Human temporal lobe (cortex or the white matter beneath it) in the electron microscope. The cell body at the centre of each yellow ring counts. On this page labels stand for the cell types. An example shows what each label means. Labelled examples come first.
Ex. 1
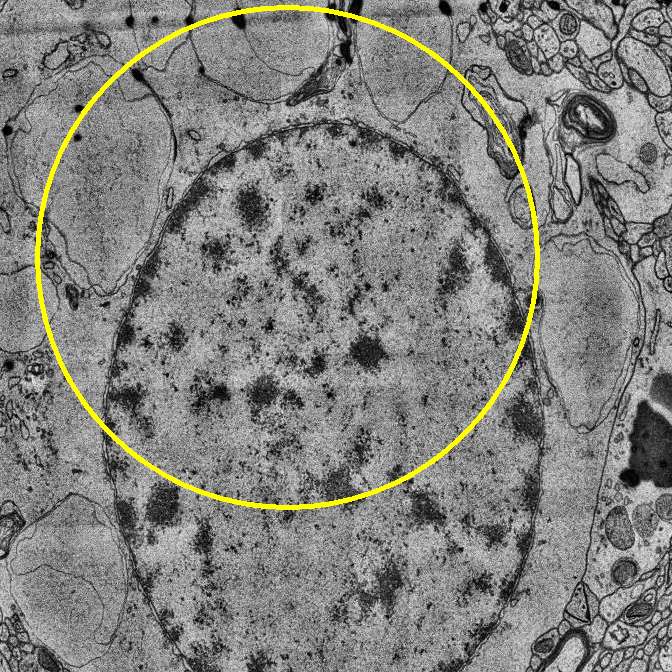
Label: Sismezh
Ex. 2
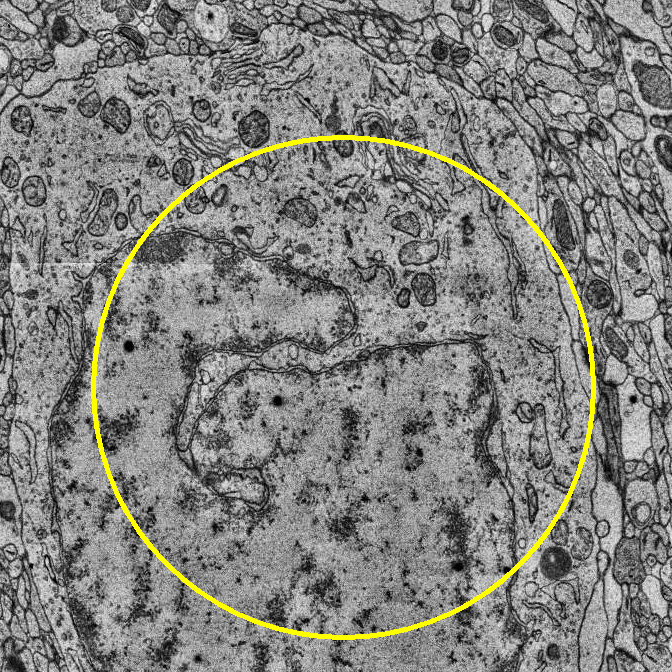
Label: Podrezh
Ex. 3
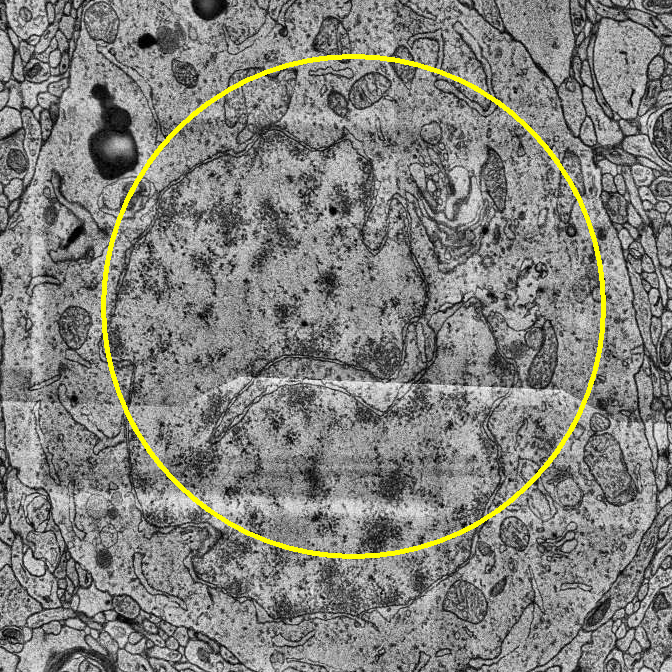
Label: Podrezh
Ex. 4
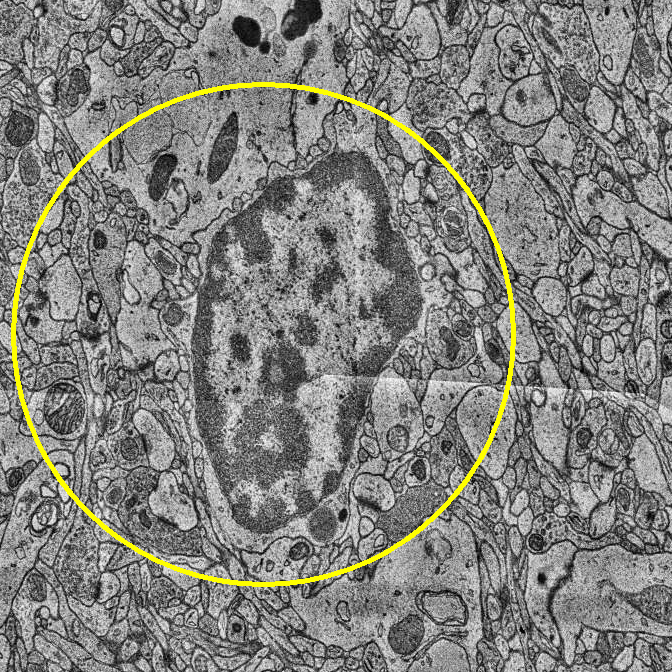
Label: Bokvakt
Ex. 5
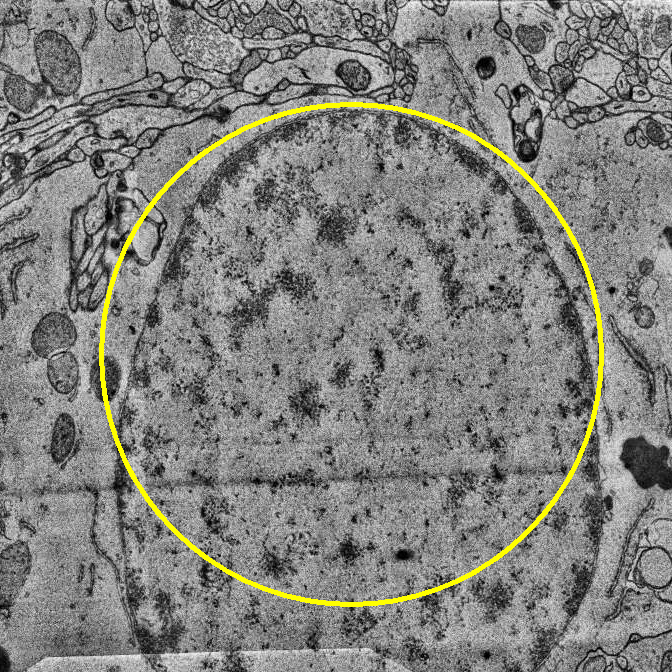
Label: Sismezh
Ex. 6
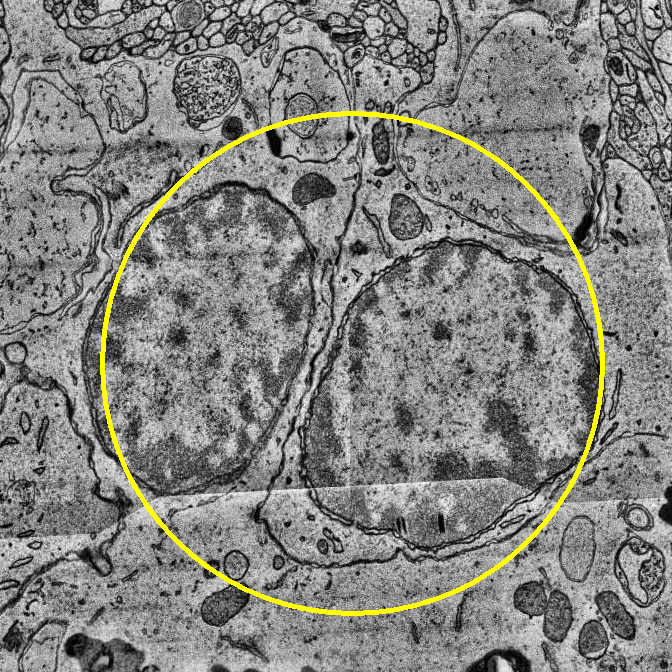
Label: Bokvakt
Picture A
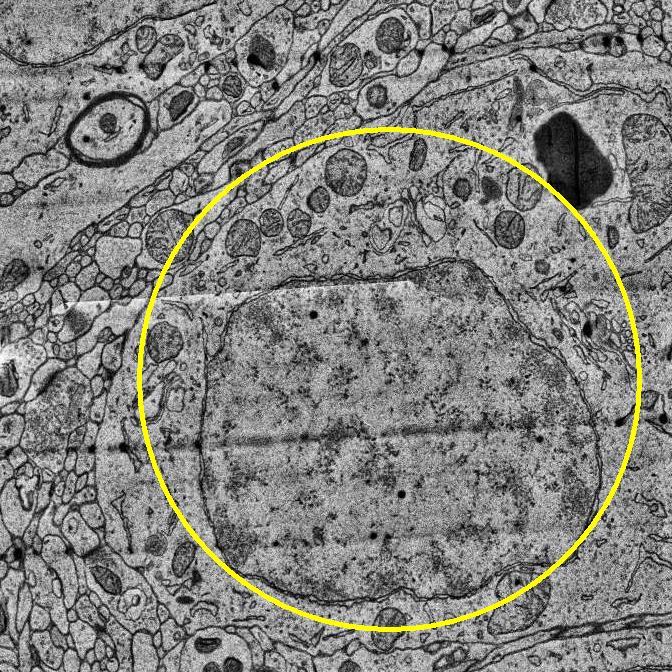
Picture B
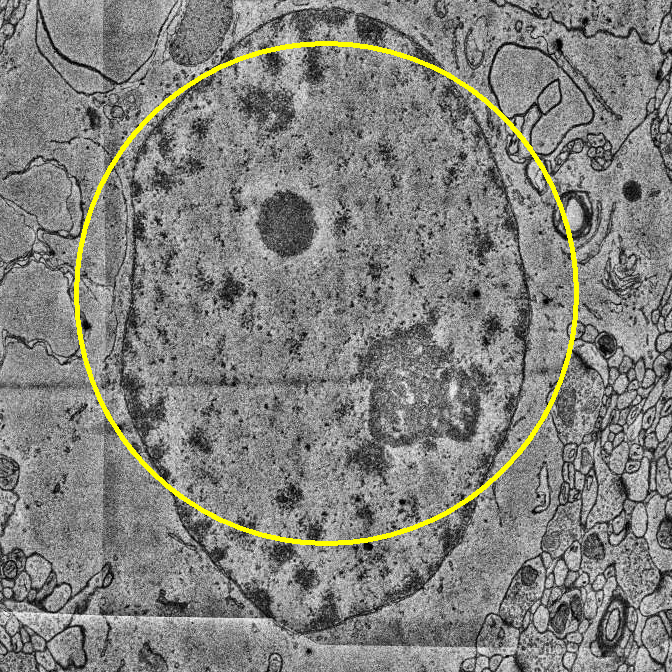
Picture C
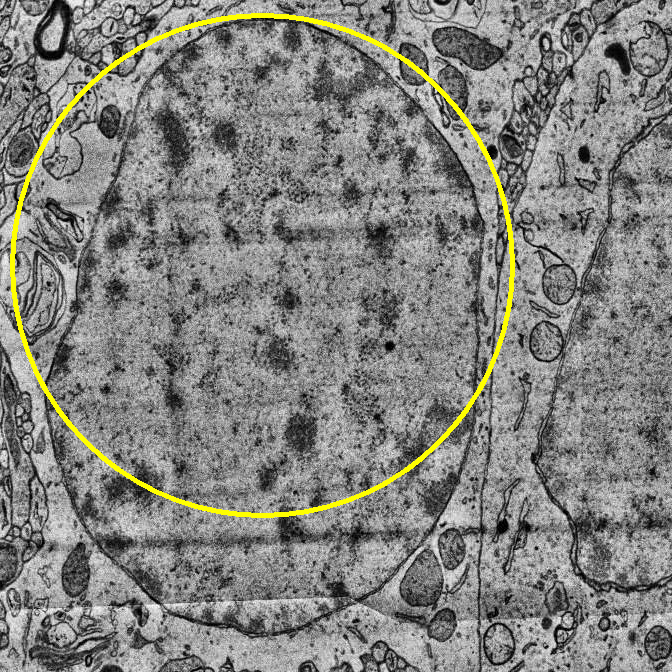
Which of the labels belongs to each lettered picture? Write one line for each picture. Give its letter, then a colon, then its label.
A: Podrezh
B: Sismezh
C: Sismezh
